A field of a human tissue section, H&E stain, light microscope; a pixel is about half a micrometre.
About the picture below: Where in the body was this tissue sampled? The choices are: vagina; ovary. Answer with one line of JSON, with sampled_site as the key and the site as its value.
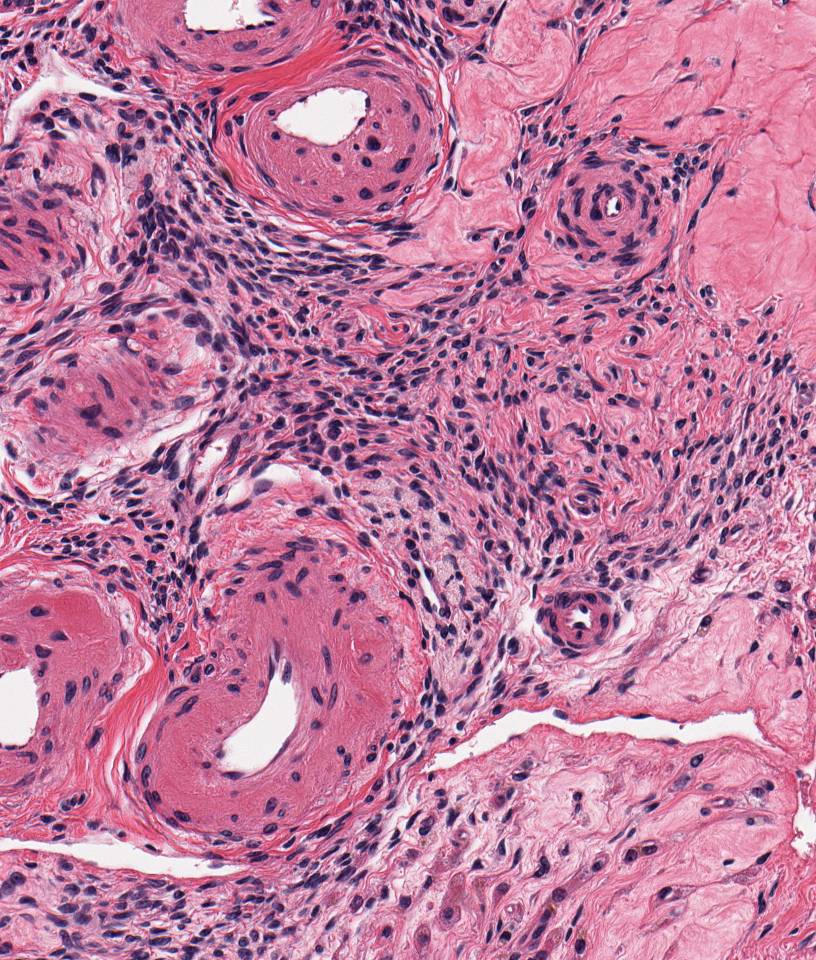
{"sampled_site": "ovary"}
